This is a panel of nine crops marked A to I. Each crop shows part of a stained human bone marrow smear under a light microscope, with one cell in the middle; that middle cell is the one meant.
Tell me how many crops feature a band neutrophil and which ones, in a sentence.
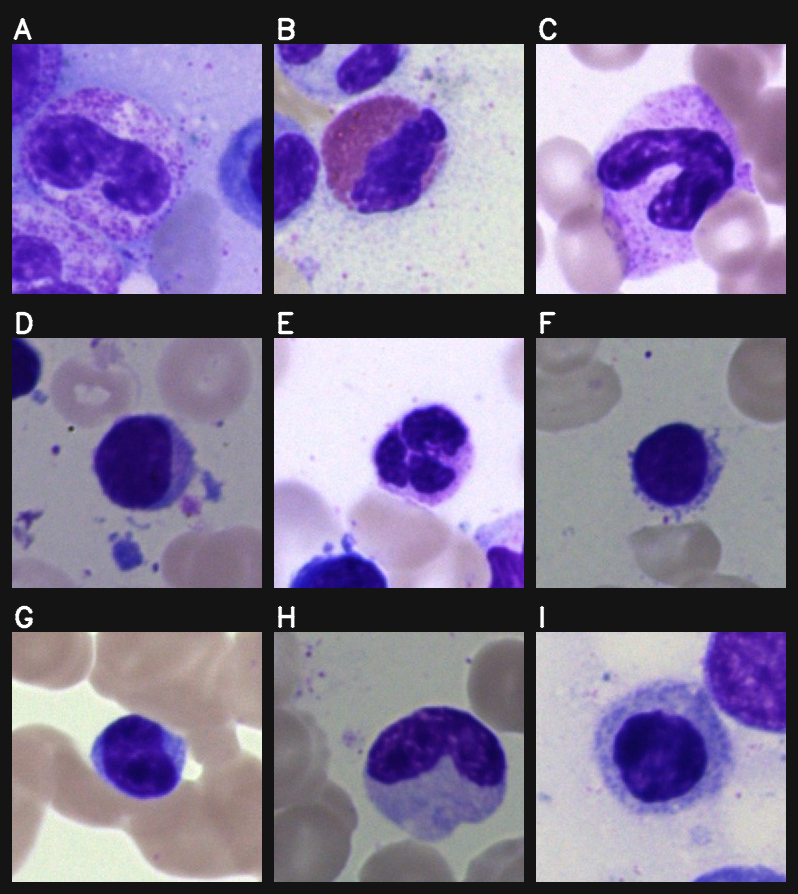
Well, three crops show band neutrophils, and those are A, C and H.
